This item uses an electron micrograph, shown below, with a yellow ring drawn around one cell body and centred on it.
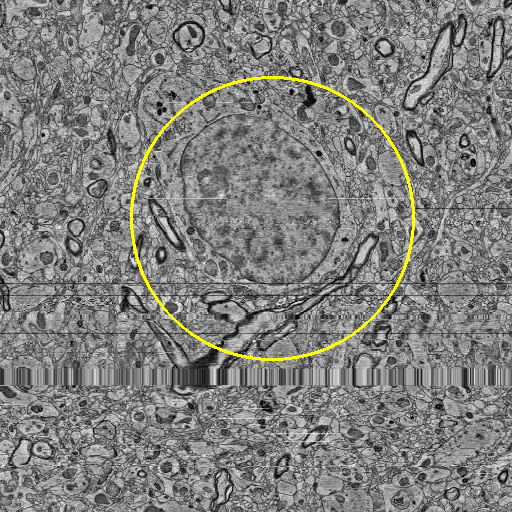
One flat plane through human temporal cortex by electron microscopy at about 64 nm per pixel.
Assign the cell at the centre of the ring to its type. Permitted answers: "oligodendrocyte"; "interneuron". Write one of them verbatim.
interneuron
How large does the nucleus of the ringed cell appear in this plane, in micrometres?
The ringed cell's nucleus is about 12 micrometres long and 9 micrometres wide in this plane.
